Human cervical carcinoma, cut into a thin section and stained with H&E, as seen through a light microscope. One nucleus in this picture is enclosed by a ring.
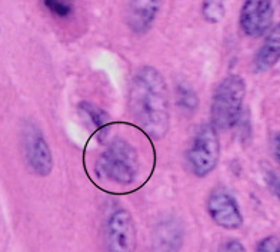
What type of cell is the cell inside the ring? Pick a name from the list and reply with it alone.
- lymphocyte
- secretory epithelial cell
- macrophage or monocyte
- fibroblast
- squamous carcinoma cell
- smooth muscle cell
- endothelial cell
squamous carcinoma cell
